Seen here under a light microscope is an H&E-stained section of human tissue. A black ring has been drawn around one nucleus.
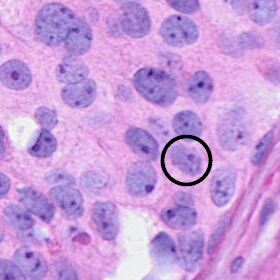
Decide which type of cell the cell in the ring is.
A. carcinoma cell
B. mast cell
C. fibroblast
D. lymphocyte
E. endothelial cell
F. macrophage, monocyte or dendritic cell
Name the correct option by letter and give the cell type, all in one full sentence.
The correct choice is option A; the cell in the ring is a carcinoma cell.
